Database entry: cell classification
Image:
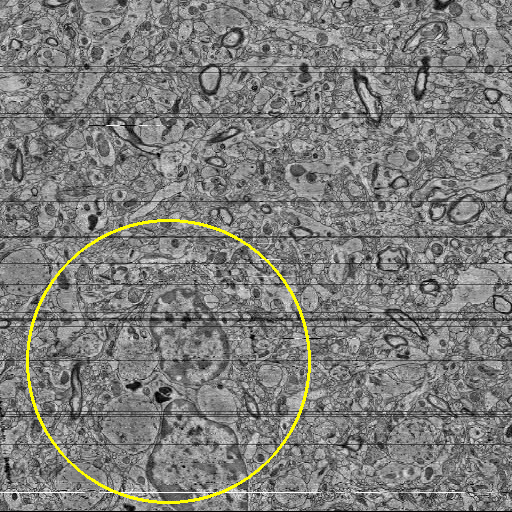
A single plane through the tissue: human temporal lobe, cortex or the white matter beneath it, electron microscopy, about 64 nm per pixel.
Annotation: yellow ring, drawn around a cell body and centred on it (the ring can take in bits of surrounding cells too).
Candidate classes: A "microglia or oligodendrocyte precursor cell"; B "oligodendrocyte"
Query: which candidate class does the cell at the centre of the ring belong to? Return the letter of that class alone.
B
